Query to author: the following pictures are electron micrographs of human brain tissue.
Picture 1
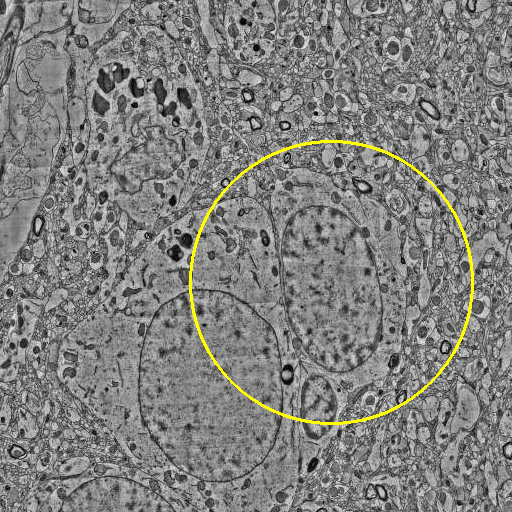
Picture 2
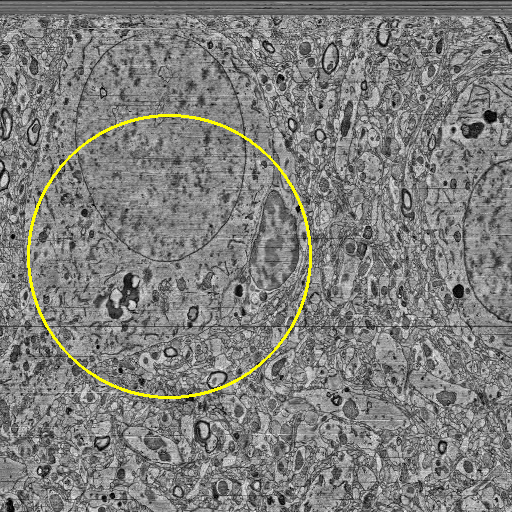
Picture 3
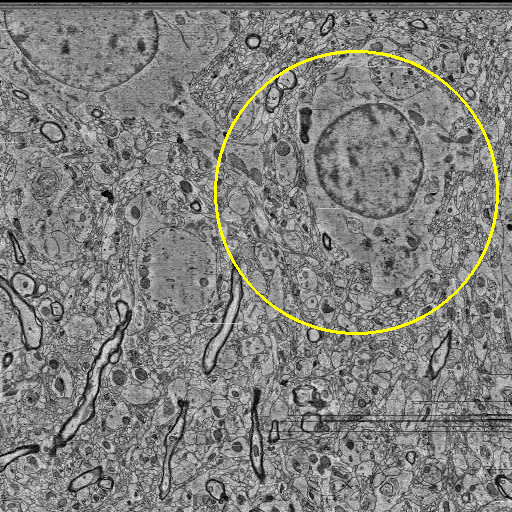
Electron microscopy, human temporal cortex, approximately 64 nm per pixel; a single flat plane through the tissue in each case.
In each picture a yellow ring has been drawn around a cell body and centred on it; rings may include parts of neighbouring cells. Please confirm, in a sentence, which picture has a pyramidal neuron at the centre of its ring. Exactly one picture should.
Picture 2 has it at the centre of its ring.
